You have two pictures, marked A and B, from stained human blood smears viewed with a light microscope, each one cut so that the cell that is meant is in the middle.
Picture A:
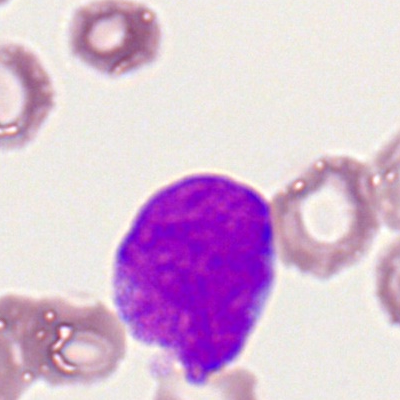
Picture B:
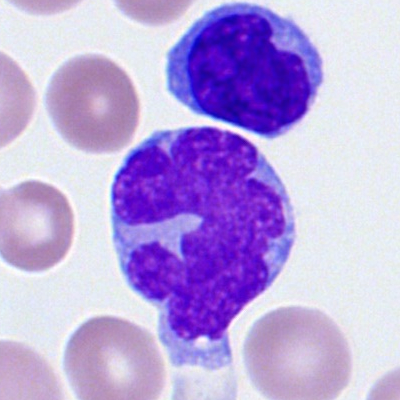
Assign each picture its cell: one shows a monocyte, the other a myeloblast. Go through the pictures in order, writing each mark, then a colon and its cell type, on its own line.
A: myeloblast
B: monocyte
